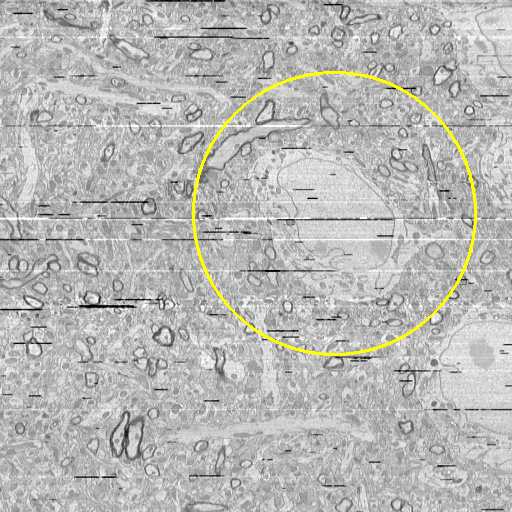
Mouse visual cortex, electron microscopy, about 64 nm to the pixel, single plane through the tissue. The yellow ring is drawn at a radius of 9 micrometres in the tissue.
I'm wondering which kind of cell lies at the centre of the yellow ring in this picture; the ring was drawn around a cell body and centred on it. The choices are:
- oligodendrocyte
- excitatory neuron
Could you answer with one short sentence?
At the centre of the ring lies an excitatory neuron.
